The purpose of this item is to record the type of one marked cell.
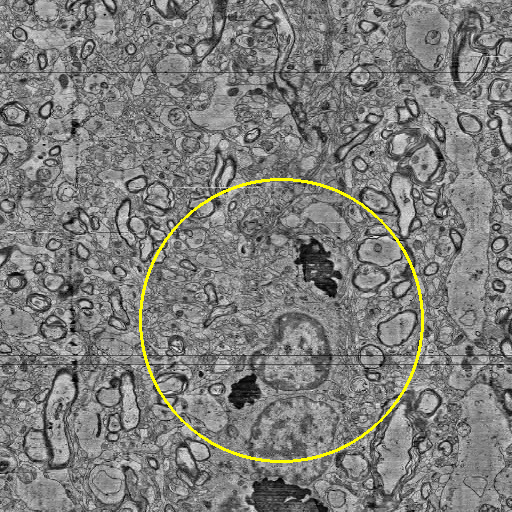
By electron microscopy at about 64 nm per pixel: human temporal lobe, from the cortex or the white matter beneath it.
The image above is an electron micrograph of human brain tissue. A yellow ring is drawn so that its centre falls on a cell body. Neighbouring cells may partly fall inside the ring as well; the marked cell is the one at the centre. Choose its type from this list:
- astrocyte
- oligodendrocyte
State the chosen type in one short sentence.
What the ring marks here is an oligodendrocyte.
